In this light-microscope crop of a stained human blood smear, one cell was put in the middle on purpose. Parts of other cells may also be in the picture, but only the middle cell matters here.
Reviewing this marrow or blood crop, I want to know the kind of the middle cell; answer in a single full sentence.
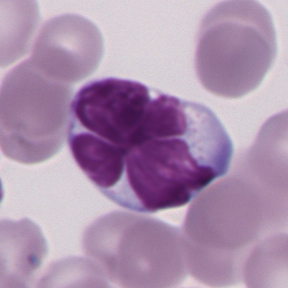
The centrally positioned cell in the crop represents a large granular lymphocyte.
